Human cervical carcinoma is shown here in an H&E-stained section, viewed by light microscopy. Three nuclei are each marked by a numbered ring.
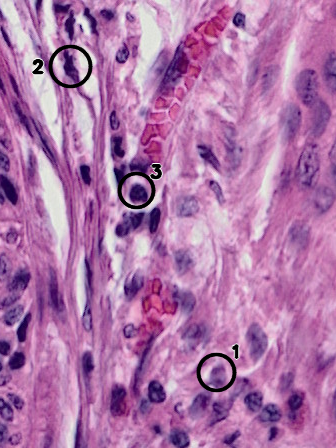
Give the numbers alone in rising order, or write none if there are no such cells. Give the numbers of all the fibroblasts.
1, 2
